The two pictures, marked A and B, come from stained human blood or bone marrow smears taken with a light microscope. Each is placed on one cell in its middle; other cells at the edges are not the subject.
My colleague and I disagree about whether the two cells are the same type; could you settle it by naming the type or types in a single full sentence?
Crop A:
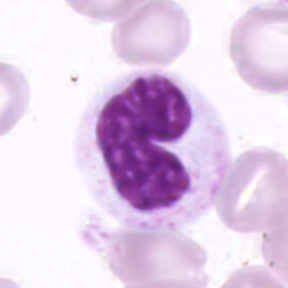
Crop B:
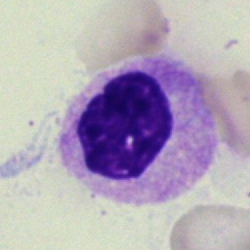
Yes, band neutrophils are the cells shown in both crops.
